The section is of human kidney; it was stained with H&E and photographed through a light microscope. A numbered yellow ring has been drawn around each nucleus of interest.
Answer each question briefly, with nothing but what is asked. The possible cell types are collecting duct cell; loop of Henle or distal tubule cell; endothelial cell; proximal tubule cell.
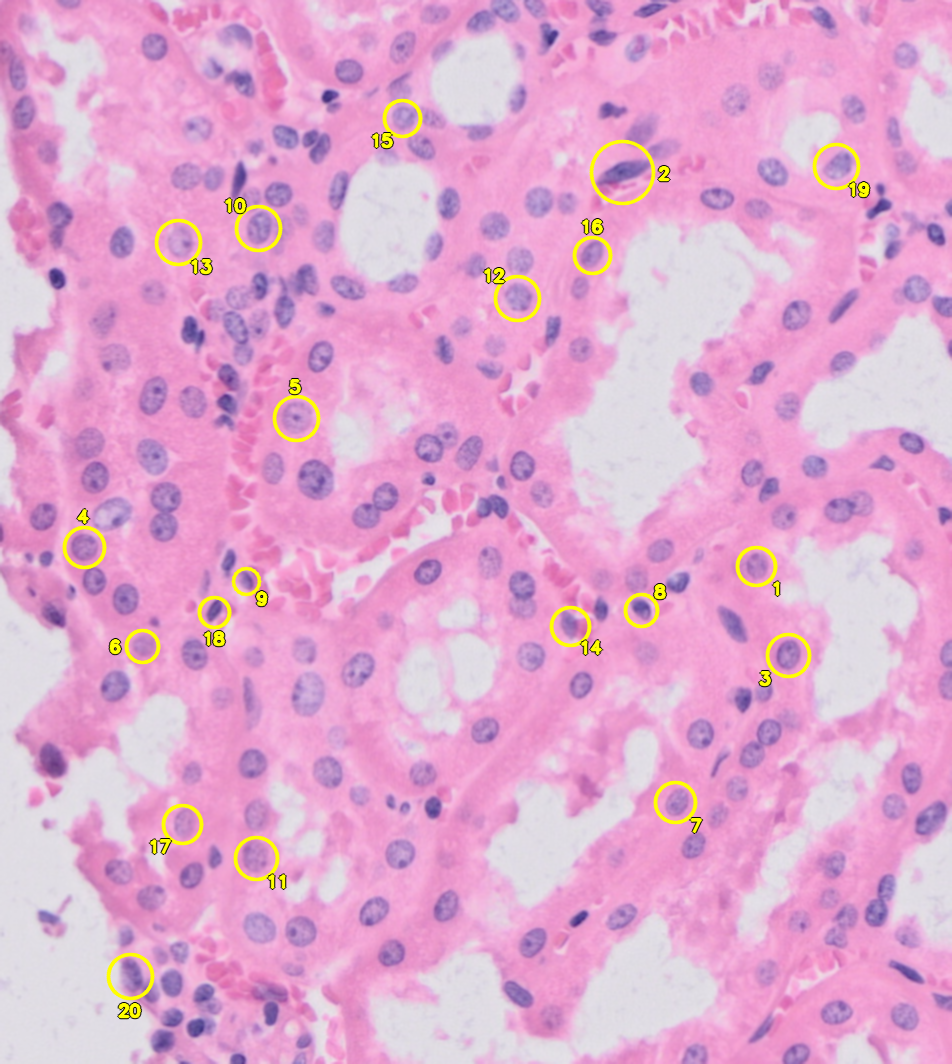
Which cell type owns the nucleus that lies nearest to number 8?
proximal tubule cell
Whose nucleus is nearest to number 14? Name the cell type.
endothelial cell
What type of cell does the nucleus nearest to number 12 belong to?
loop of Henle or distal tubule cell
